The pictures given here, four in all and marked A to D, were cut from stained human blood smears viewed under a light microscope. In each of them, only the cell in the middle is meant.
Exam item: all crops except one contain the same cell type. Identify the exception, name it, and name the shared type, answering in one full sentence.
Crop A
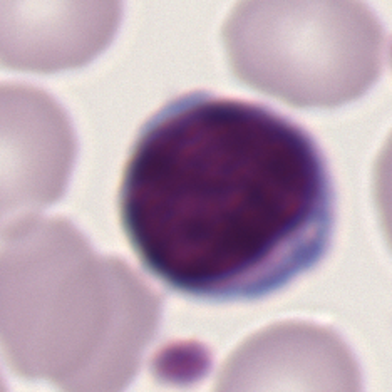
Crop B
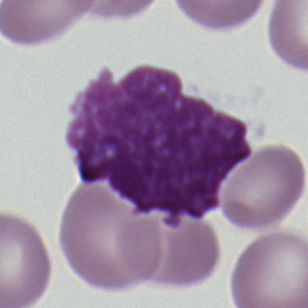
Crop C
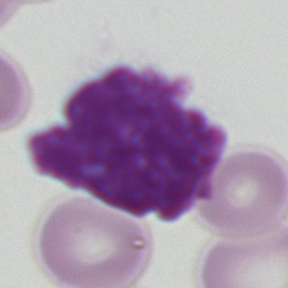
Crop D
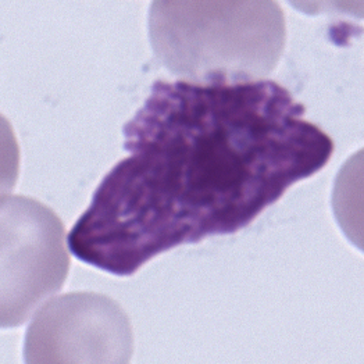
Crop A is the one to flag: it is a typical lymphocyte, and the rest show smudge cells.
